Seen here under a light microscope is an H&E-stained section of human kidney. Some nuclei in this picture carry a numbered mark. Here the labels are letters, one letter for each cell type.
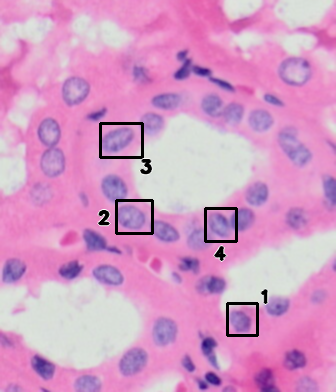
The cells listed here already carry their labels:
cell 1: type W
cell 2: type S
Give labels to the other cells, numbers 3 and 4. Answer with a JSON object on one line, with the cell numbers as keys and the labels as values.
{"3": "type S", "4": "type S"}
